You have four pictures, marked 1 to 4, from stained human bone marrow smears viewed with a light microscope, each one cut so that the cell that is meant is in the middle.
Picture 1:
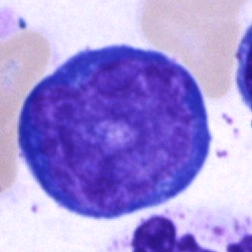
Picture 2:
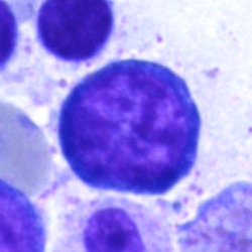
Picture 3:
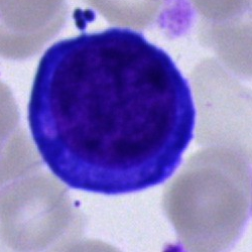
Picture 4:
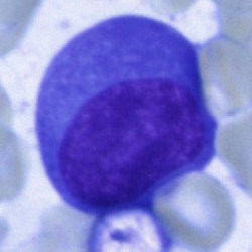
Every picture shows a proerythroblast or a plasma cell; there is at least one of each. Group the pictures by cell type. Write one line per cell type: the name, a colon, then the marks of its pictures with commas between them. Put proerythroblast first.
proerythroblast: 1, 2, 3
plasma cell: 4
